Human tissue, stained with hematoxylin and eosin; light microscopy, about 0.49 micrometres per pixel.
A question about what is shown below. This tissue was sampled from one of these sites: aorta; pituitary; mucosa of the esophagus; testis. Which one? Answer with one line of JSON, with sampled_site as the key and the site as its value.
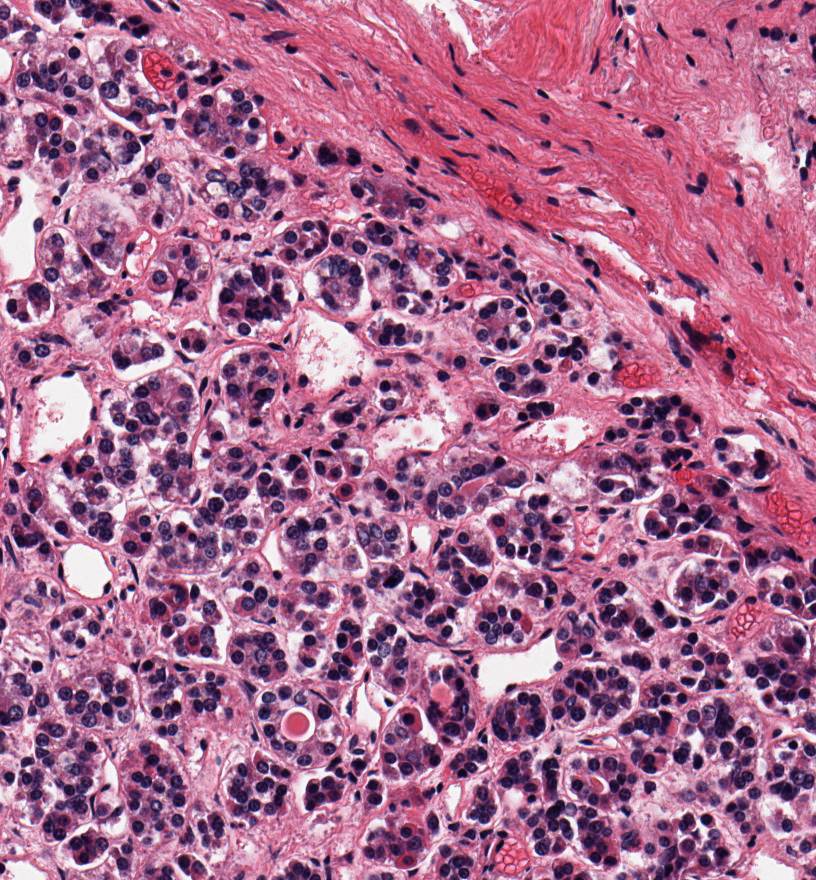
{"sampled_site": "pituitary"}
